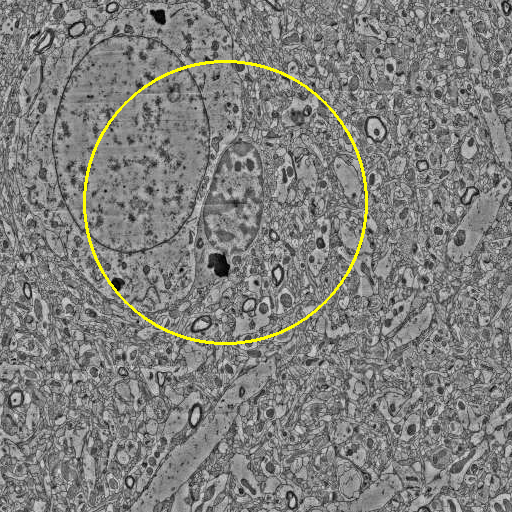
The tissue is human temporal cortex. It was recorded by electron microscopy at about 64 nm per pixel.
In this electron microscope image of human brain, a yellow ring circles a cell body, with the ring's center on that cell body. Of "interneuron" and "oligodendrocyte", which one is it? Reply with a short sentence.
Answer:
It is an oligodendrocyte at the center of the ring.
